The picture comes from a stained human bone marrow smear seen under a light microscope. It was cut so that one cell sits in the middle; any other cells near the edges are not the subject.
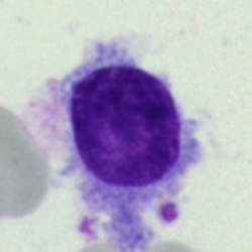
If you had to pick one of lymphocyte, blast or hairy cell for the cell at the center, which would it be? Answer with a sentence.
At the middle of the frame sits a hairy cell.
